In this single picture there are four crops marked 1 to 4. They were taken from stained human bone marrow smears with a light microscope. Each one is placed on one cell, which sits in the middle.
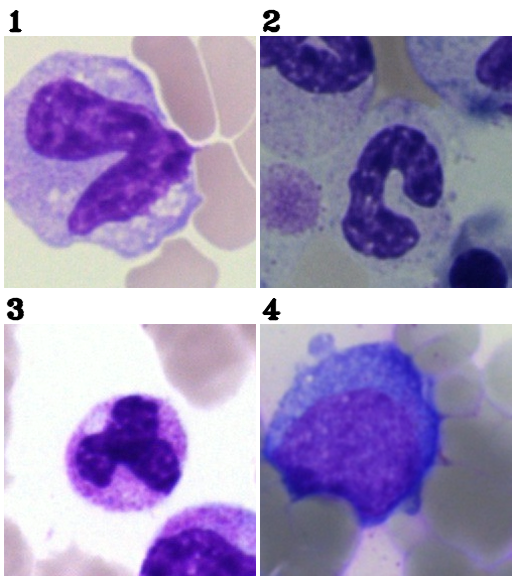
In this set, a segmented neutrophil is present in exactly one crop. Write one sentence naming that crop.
Crop 3 is the one in this set that shows a segmented neutrophil.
